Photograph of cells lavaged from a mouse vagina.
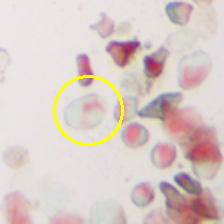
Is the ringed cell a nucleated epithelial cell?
Yes, it is a nucleated epithelial cell.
